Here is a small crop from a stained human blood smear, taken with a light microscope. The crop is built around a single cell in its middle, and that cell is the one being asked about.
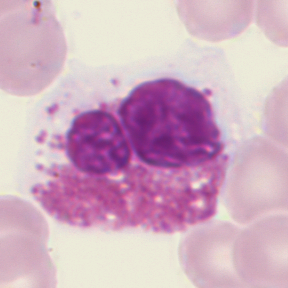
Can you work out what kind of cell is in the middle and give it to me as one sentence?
Standing at the centre of this crop is an eosinophil.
